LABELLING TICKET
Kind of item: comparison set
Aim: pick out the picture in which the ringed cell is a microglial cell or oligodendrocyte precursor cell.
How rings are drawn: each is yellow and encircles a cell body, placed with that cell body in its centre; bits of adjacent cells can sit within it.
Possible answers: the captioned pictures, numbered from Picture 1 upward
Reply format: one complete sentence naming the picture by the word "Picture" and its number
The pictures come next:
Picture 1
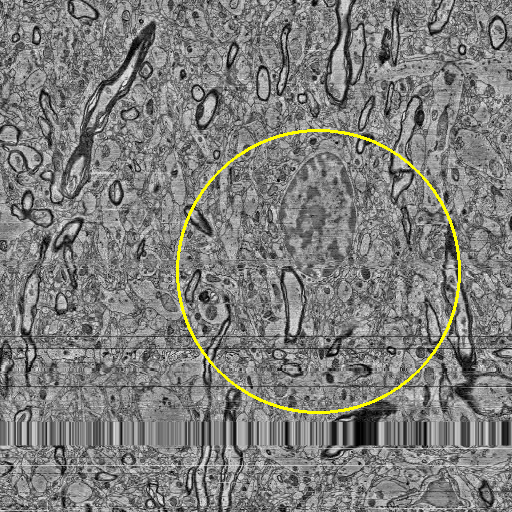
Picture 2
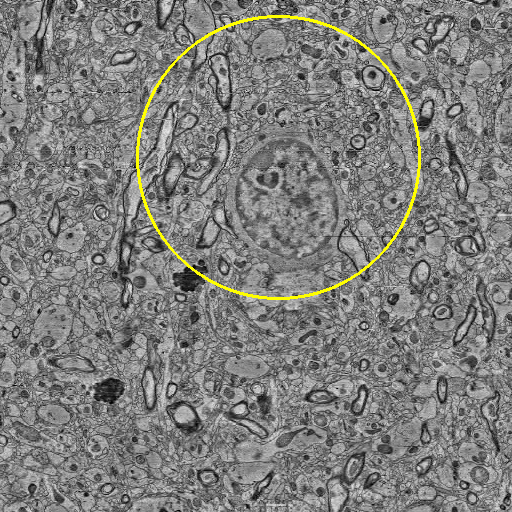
The cell centred inside the yellow ring in Picture 1 is the requested one.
